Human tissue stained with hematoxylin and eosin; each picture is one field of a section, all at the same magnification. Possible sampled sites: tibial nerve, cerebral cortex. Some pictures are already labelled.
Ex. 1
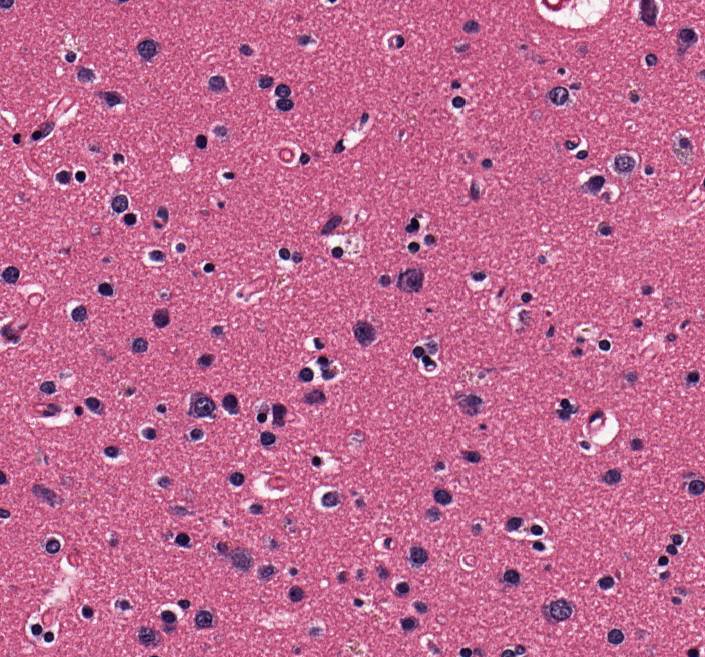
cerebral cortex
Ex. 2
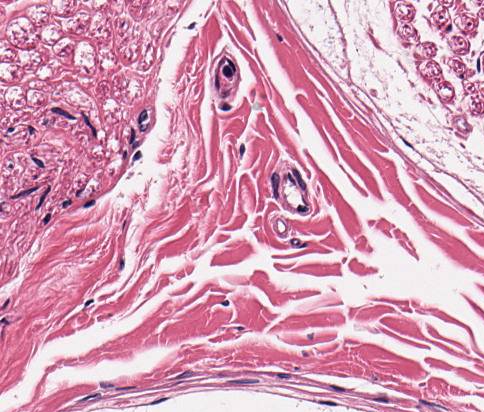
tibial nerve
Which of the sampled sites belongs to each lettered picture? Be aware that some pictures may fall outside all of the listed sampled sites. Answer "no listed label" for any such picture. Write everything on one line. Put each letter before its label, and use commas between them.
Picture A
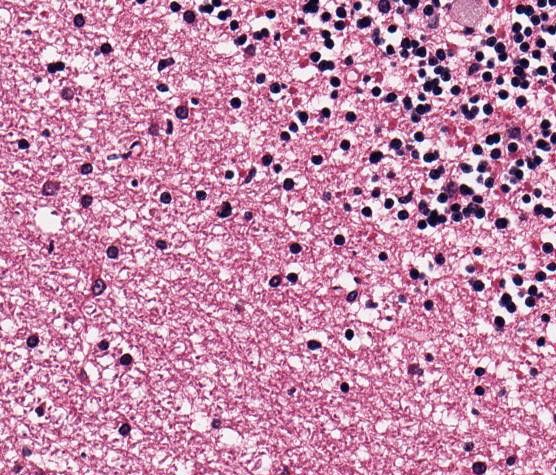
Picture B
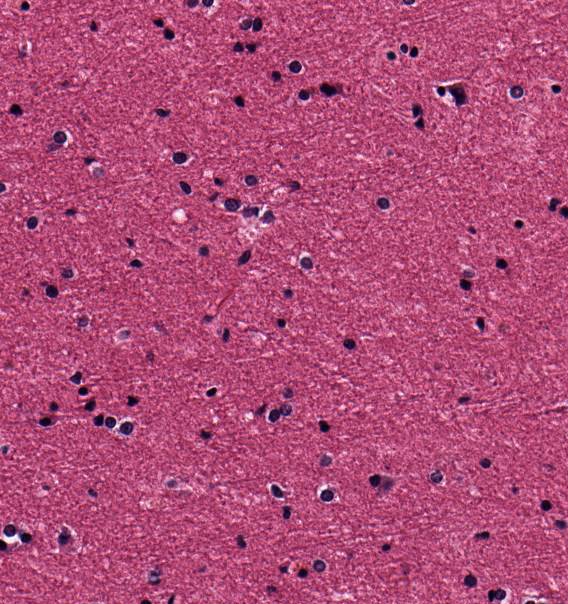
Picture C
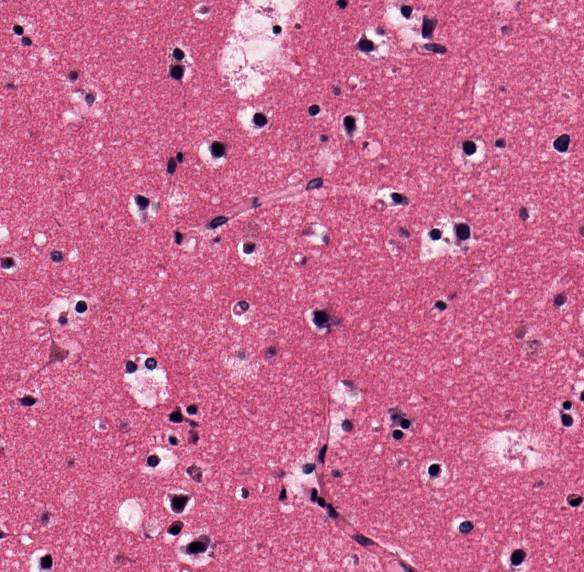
A no listed label, B cerebral cortex, C cerebral cortex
